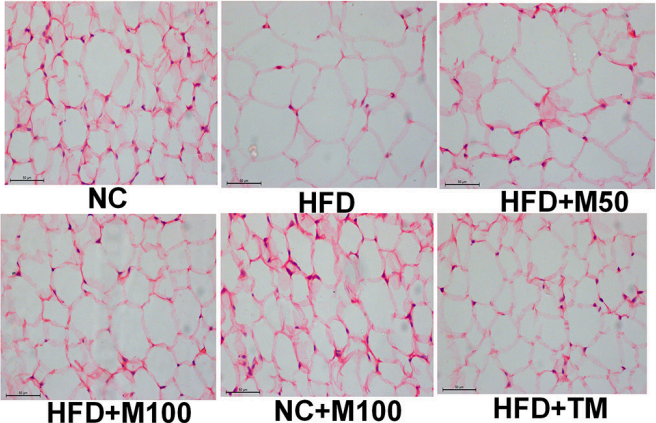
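These are sections of fat tissue made up almost entirely of adipocytes packed tightly against one another. Each adipocyte appears as a large, rounded-to-polygonal empty space, its contents cleared, bounded by a thin pink rim of cytoplasm and membrane. Together the rims form a fine pink meshwork resembling a honeycomb. Small, dark purple, flattened nuclei lie sparsely along the rims, squeezed to the edge of the cells. The adipocytes differ in size from one image to another, some showing many smaller cells and others fewer, much larger ones.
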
